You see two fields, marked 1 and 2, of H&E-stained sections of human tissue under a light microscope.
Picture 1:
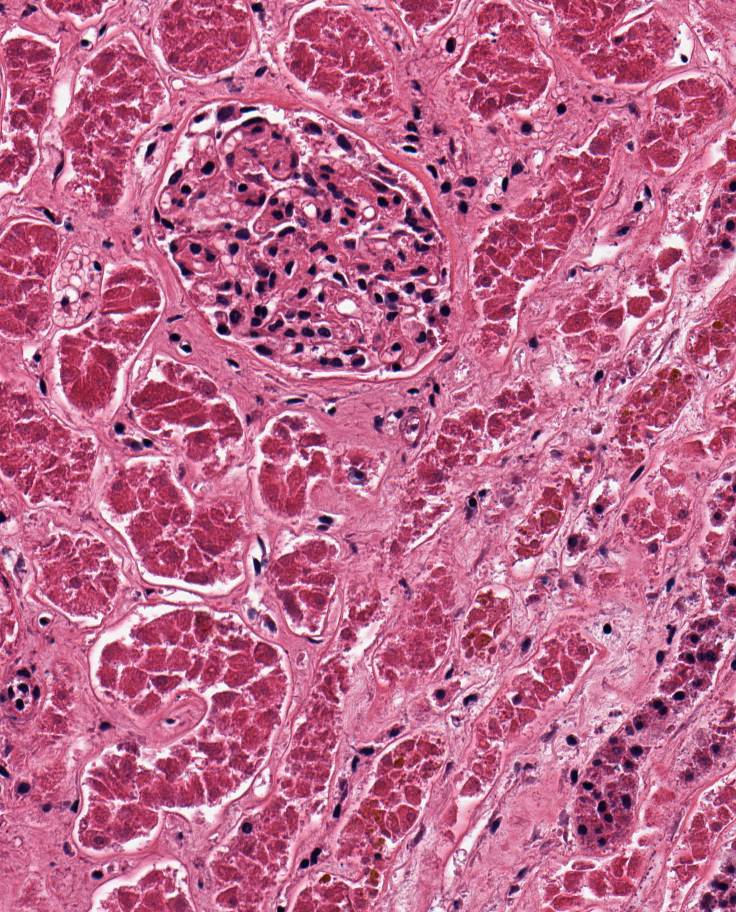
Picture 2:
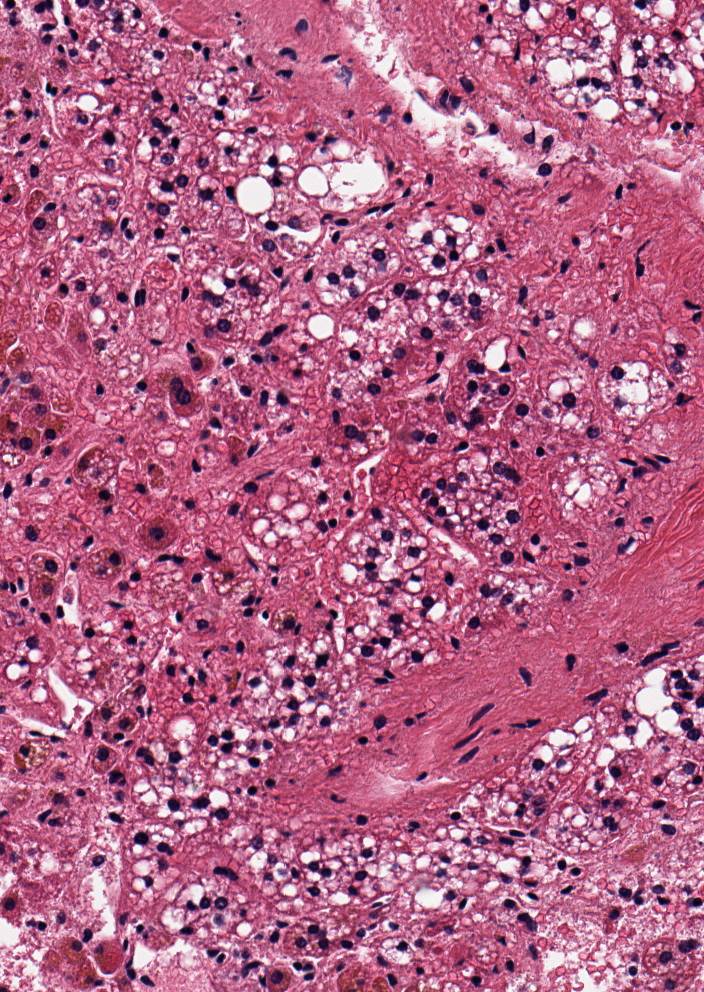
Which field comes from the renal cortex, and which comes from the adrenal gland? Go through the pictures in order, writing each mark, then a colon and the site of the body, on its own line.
1: renal cortex
2: adrenal gland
